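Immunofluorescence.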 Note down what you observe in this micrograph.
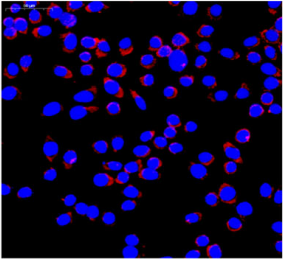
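In many of the cells the red signal forms a ring or crescent that hugs the nucleus, lying in the thin rim of cytoplasm at the cell edge. Some nuclei have little or no red around them.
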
